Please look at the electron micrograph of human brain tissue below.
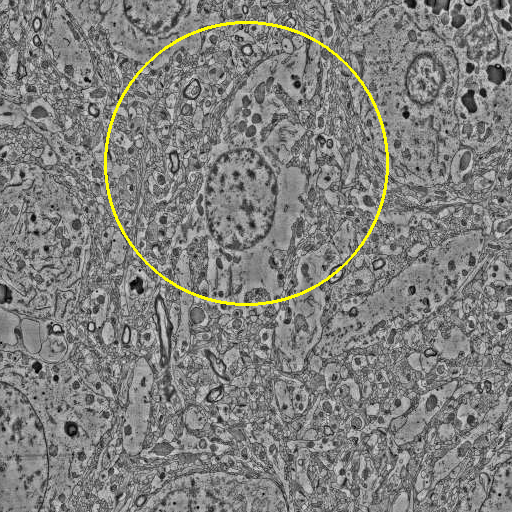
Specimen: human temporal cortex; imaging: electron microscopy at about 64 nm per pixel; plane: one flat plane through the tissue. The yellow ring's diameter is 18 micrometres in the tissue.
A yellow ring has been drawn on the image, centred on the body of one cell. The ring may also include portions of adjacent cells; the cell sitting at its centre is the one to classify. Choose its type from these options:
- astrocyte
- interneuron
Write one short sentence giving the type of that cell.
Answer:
The cell in the middle of the ring is an astrocyte.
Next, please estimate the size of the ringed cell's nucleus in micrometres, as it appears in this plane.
The nucleus of the ringed cell is approximately 6 by 5 micrometres in this plane.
